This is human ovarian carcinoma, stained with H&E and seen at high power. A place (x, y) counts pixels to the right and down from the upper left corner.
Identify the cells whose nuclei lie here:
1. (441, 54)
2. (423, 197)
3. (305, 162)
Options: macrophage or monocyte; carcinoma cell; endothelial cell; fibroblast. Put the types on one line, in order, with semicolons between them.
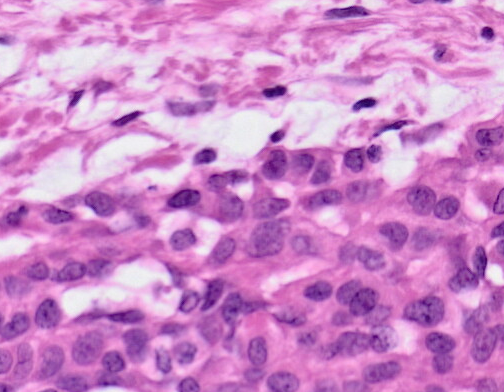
macrophage or monocyte; carcinoma cell; carcinoma cell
